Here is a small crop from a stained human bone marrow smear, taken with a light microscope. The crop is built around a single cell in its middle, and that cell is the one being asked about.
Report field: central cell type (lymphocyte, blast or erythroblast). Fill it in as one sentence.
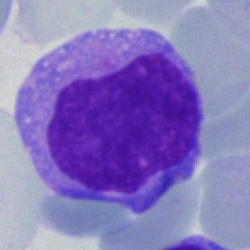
Centrally within this crop lies a blast.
